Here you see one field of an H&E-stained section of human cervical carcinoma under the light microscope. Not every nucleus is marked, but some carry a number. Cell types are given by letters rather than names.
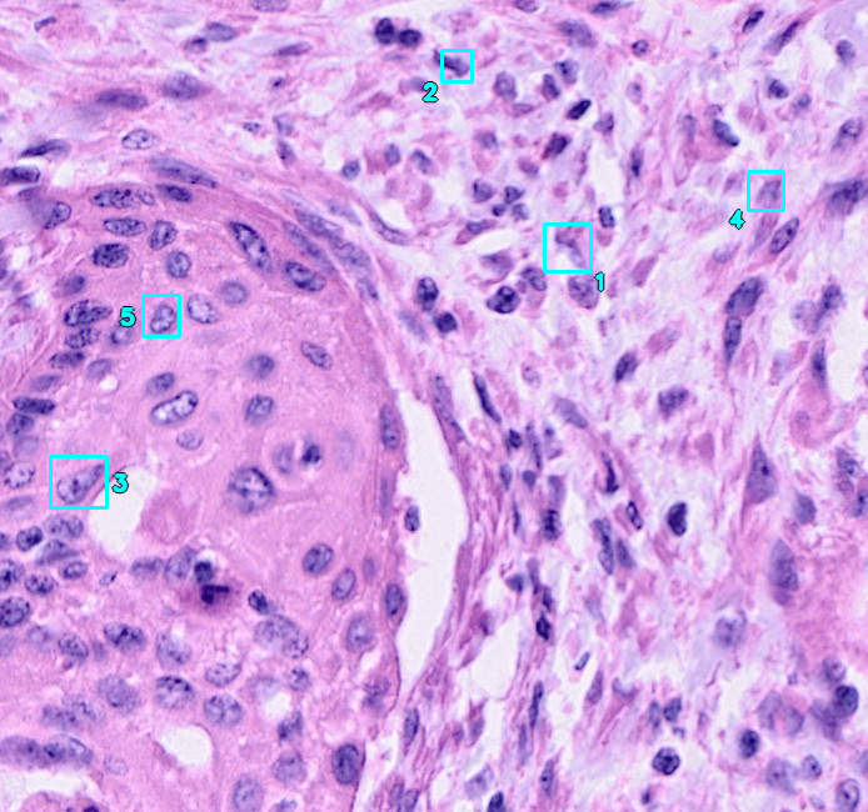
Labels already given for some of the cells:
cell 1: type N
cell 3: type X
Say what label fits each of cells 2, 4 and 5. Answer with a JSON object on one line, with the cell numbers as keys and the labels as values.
{"2": "type N", "4": "type N", "5": "type X"}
